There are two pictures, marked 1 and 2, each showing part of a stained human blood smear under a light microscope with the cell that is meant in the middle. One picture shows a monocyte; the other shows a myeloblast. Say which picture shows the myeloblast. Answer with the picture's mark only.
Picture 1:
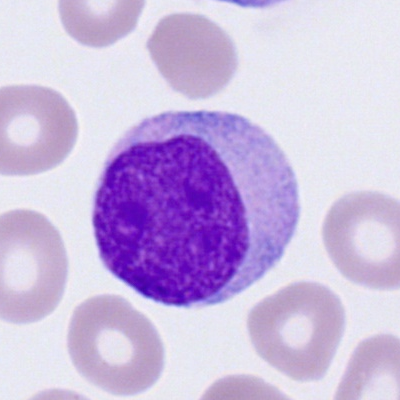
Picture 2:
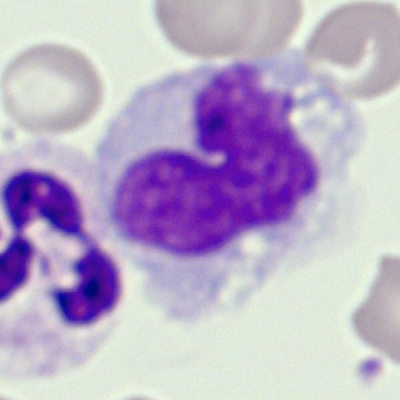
1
